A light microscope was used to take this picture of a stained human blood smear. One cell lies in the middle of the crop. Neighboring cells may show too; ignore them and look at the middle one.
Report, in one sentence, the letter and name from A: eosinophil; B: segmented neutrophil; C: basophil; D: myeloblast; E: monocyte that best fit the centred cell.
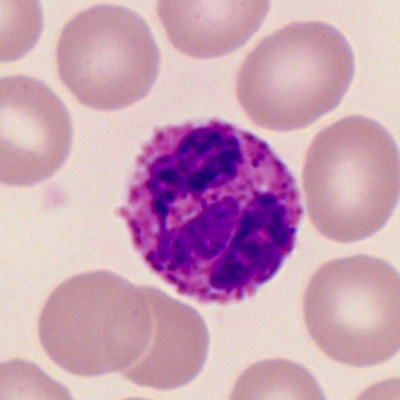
The one to choose is option C, as the cell in the middle is a basophil.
